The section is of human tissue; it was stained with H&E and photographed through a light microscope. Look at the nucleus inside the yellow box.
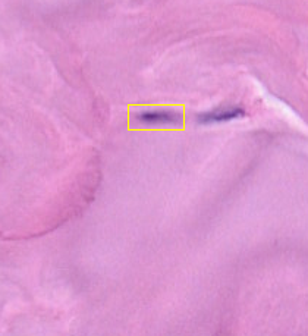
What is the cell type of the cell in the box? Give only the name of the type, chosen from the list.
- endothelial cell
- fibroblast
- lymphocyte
fibroblast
